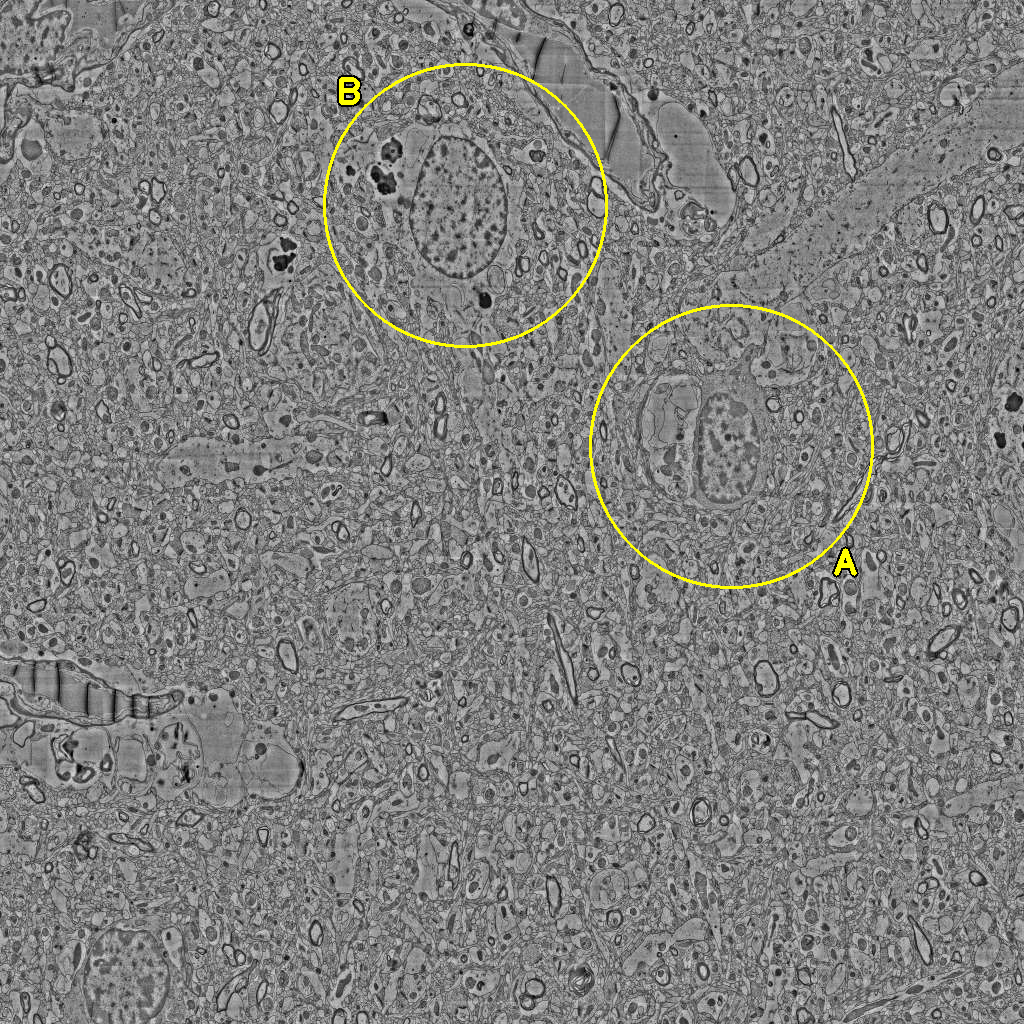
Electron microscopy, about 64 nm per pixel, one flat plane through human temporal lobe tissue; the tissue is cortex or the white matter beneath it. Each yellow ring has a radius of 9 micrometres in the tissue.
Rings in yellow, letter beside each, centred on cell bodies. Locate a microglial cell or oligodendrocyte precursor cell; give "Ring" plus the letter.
Ring A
